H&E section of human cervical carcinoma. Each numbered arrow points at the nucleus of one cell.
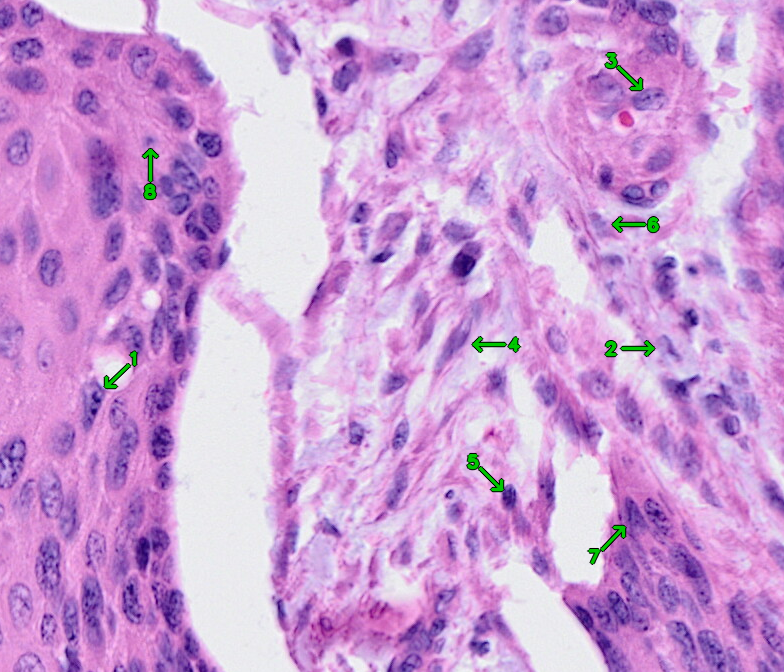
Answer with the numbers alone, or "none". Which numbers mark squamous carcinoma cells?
1, 7, 8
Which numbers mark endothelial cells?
3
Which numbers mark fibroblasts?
2, 4, 6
